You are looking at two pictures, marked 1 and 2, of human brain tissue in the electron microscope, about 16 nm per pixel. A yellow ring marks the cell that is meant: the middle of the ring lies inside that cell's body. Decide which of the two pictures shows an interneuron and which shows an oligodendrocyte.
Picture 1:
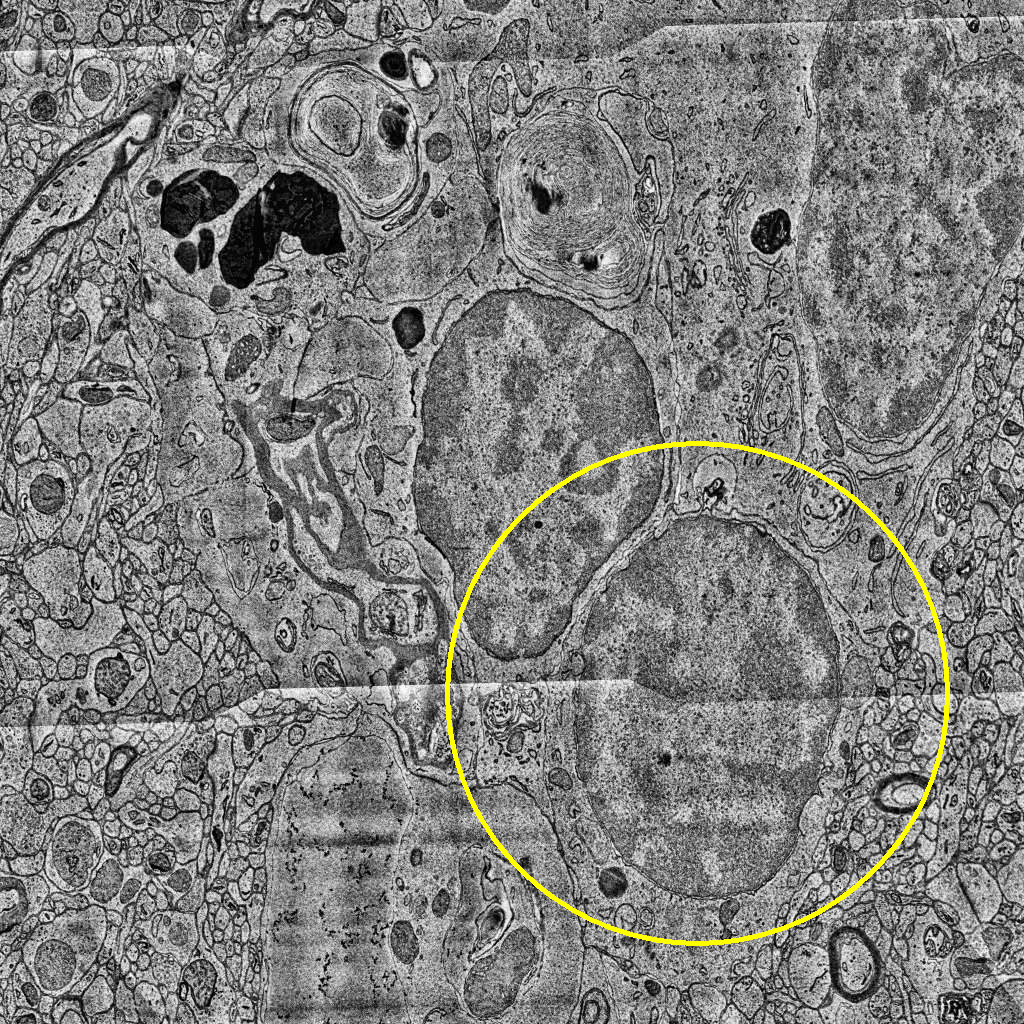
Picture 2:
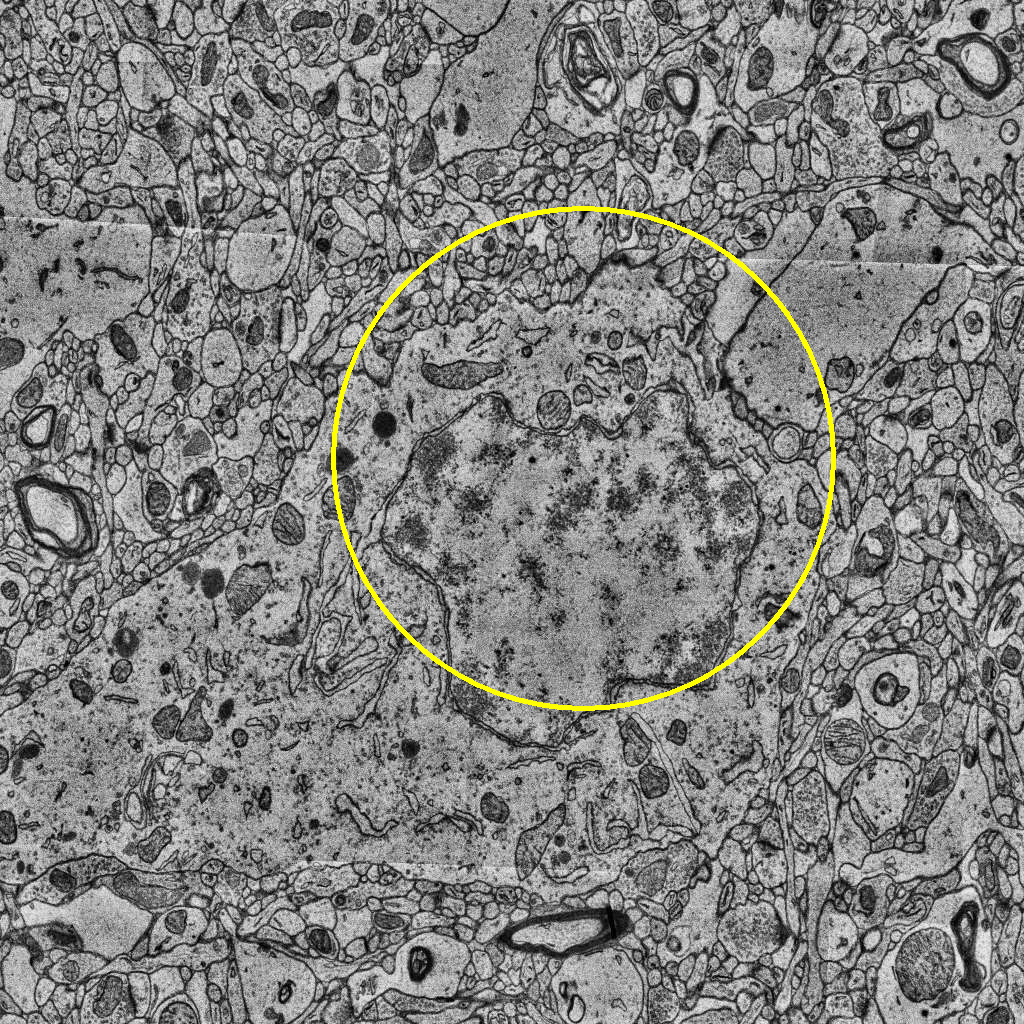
Picture 2 shows an interneuron, while picture 1 shows an oligodendrocyte.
